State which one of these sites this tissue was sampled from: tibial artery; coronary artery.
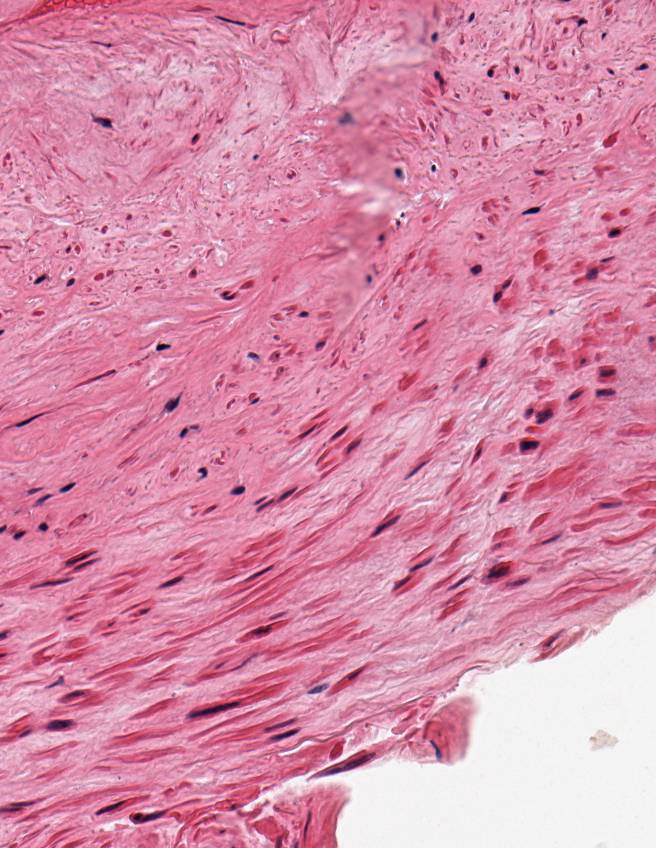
tibial artery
